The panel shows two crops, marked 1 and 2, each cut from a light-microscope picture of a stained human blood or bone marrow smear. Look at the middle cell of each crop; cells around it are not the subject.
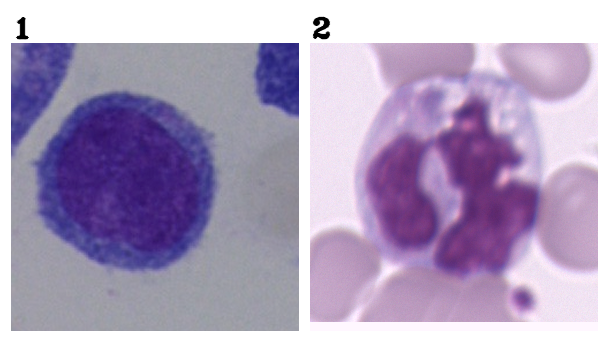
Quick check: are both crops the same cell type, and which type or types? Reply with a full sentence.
No, crop 1 shows a blast, and crop 2, by contrast, shows a monocyte.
